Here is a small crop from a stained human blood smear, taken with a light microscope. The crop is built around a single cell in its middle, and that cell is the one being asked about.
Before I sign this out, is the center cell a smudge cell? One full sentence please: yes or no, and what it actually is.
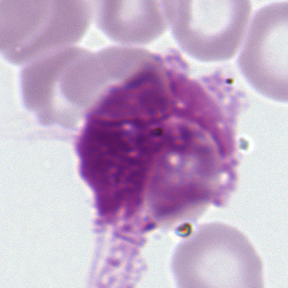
Yes, it is a smudge cell that lies in the middle.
